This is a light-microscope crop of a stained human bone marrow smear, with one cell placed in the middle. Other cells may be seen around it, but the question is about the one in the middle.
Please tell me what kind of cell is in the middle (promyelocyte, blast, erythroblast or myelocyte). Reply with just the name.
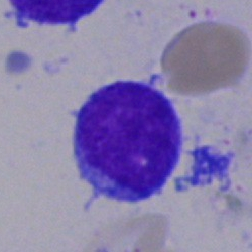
blast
